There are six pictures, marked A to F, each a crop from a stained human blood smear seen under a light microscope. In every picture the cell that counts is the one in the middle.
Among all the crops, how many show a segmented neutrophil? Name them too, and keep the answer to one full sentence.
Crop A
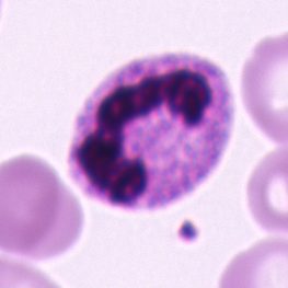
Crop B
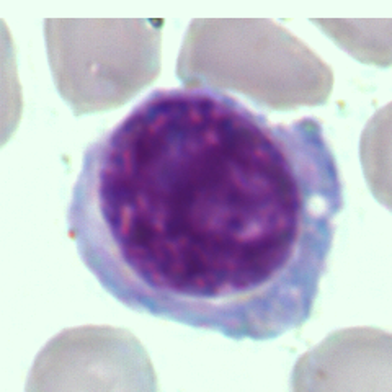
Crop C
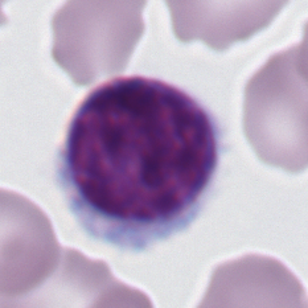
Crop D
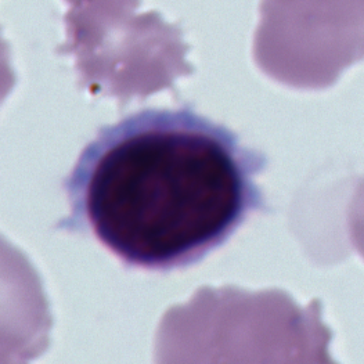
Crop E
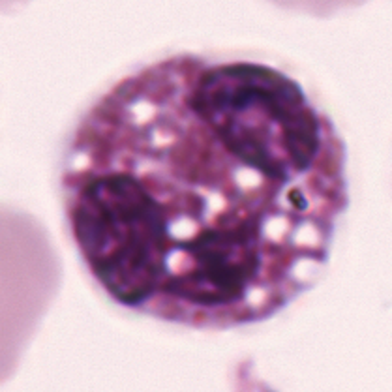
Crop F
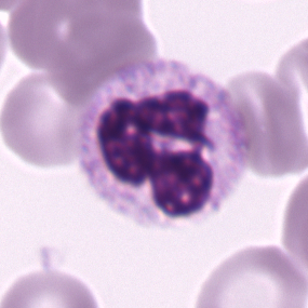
Of all the crops, two show segmented neutrophils: A and F.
